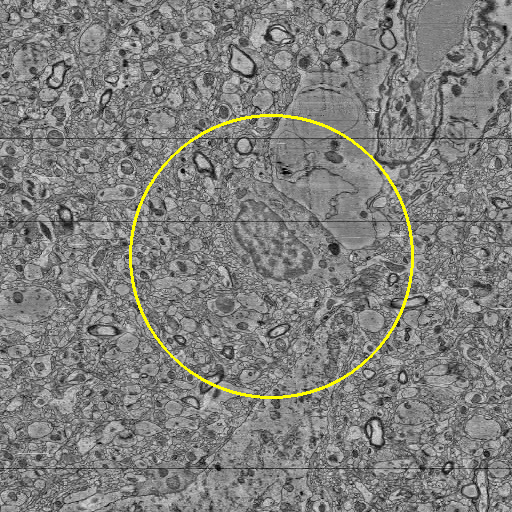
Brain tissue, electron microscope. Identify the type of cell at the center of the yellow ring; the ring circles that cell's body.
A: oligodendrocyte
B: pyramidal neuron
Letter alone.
A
